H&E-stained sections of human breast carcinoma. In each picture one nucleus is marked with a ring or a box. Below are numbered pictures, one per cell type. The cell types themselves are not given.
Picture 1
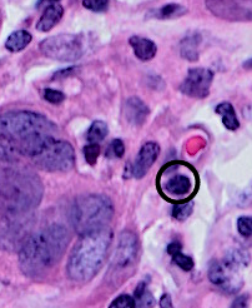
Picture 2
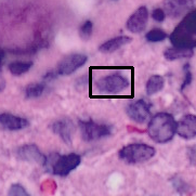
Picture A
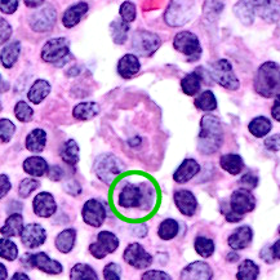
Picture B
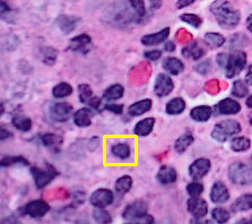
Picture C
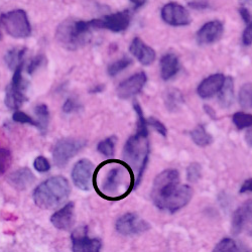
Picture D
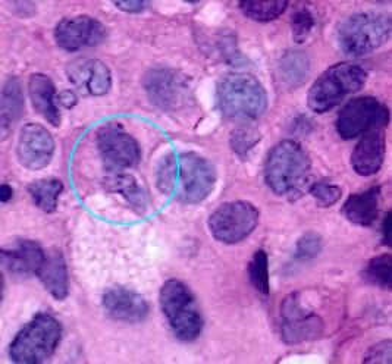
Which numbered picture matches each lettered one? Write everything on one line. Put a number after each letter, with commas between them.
A 1, B 1, C 2, D 2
